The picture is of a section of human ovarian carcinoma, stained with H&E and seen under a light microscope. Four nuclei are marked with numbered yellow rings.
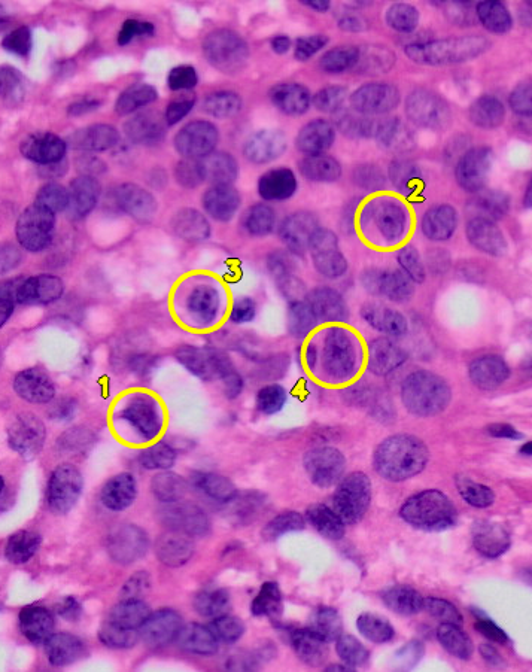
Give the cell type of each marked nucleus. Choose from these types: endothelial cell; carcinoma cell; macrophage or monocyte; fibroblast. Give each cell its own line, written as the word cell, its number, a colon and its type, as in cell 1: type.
cell 1: carcinoma cell
cell 2: carcinoma cell
cell 3: macrophage or monocyte
cell 4: carcinoma cell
